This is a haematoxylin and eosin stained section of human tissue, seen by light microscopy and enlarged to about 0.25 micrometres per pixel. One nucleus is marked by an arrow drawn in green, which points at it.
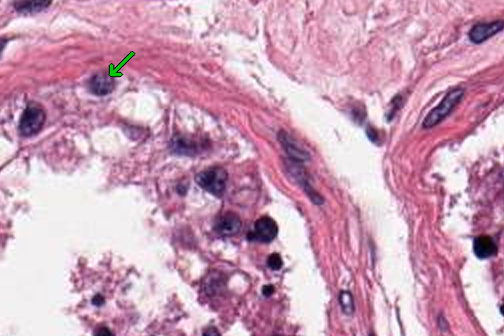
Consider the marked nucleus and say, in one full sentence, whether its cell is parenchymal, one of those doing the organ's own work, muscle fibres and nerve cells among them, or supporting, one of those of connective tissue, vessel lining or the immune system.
The marked nucleus forms part of a parenchymal cell, namely a spermatogonium.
